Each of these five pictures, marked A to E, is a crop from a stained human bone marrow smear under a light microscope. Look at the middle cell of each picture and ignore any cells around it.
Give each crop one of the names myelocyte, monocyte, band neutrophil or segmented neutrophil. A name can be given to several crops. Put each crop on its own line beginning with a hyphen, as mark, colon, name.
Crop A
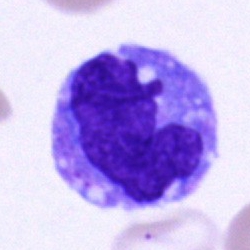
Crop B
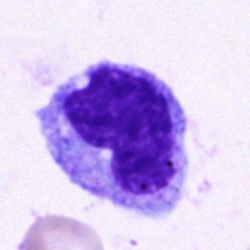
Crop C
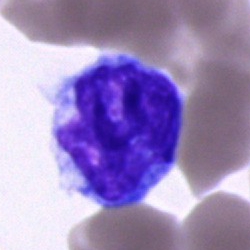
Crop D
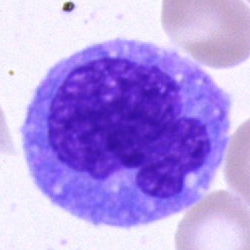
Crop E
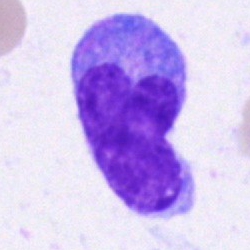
- A: monocyte
- B: monocyte
- C: monocyte
- D: monocyte
- E: monocyte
